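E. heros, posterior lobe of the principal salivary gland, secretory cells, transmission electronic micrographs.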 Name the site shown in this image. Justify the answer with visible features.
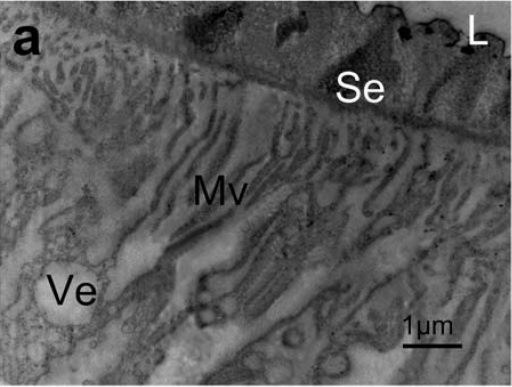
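Apical cell region. Many finger-like membrane projections line one edge of the cell.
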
